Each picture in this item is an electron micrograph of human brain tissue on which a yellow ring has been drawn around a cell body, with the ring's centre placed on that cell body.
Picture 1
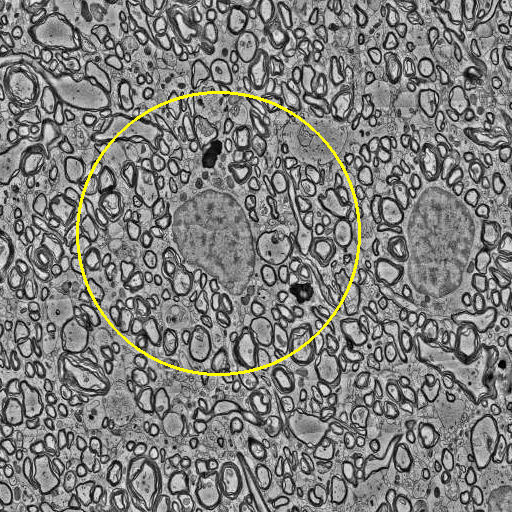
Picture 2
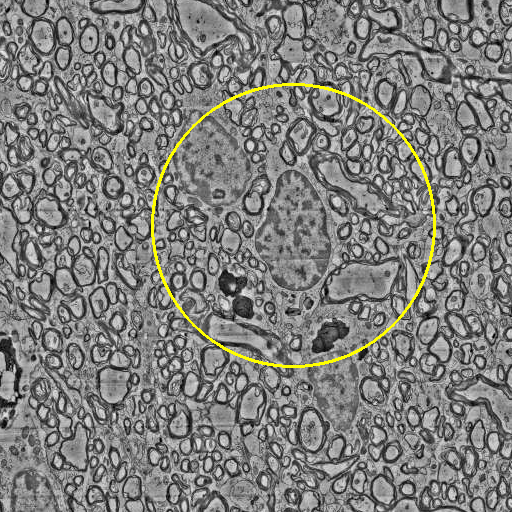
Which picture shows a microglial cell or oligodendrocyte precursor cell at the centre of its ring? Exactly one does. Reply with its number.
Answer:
2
